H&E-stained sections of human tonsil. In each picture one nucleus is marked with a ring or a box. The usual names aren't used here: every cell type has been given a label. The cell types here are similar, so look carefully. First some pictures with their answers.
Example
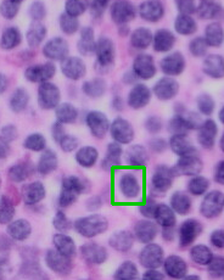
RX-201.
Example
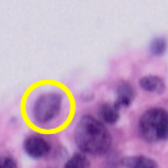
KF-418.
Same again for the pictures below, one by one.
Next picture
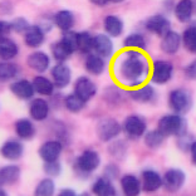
RX-201.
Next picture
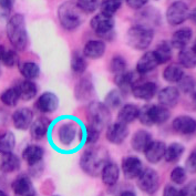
RX-201.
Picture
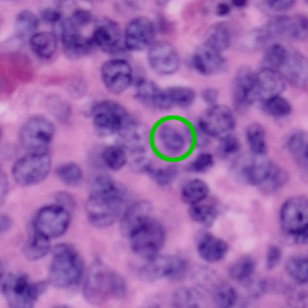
KF-418.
